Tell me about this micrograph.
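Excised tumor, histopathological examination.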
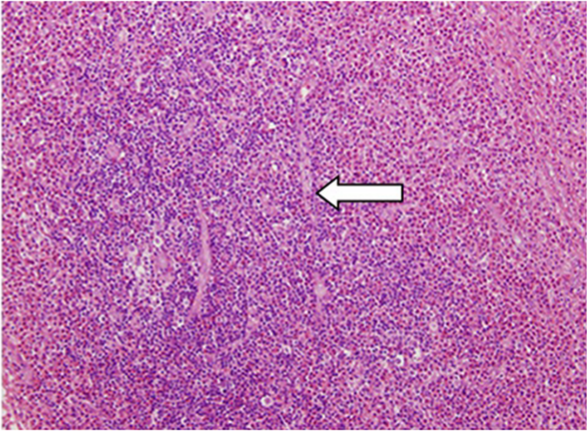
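This is a densely cellular tissue crowded with small round cells, many with bright pink-red cytoplasm and small dark nuclei, consistent with a heavy infiltrate of eosinophils. Toward the centre lies a darker purple zone where cells with dark round nuclei and scant cytoplasm are packed more tightly. Around this darker zone the pink-cytoplasm cells predominate and spread in sheets to the edges of the field. A few thin pale pink strands and small vessel-like profiles run through the cell mass. The picture as a whole is of a tissue massively infiltrated by eosinophils, which aggregate in places.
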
